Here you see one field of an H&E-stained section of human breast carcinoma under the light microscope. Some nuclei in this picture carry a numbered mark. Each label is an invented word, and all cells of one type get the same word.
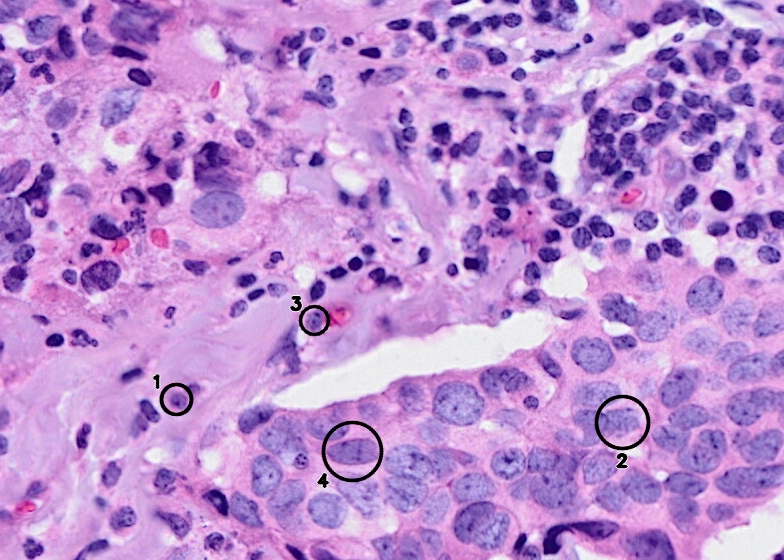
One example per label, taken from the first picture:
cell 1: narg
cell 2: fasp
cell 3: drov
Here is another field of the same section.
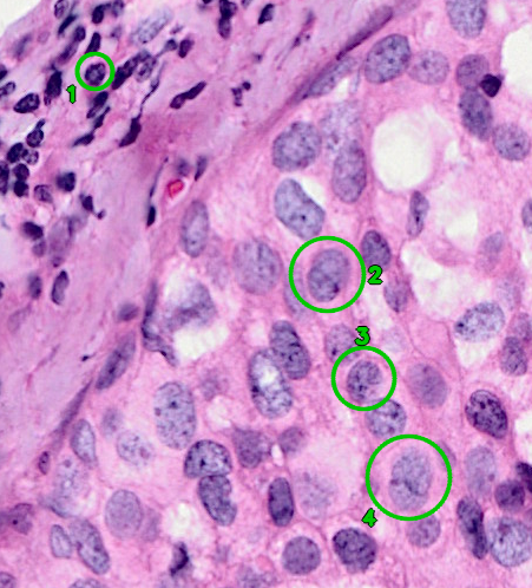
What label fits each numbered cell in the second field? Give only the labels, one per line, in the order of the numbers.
narg
fasp
fasp
fasp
